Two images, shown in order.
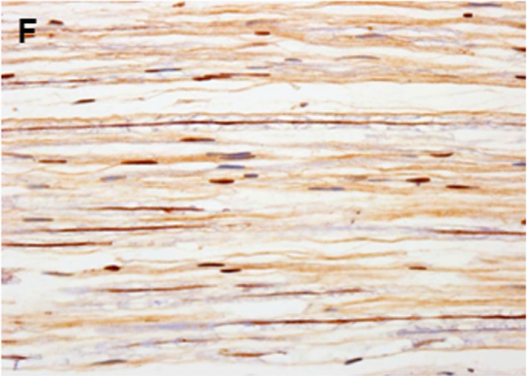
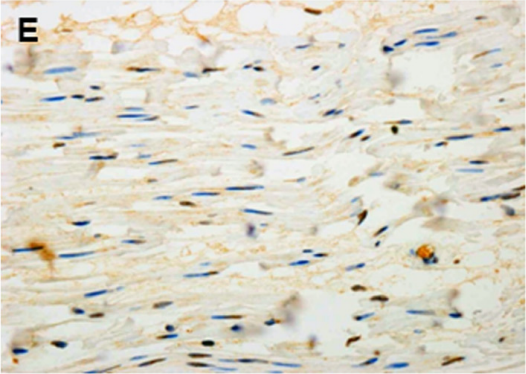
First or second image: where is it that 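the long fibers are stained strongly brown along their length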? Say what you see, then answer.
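First image: long parallel fibers show continuous brown staining, with many brown nuclei. Second image: fibers are pale, faintly tinged, and most elongated nuclei are blue, only a few brown.
Answer: the first image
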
